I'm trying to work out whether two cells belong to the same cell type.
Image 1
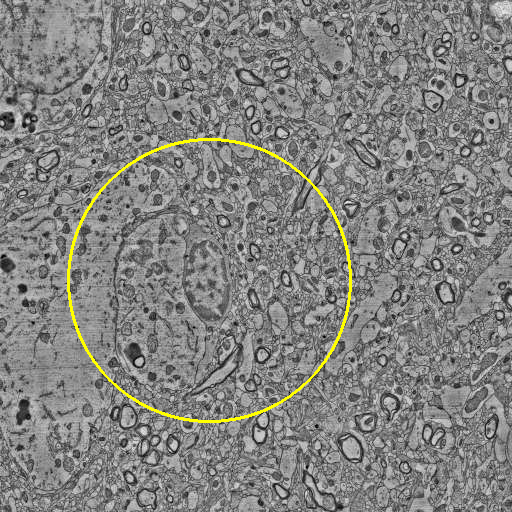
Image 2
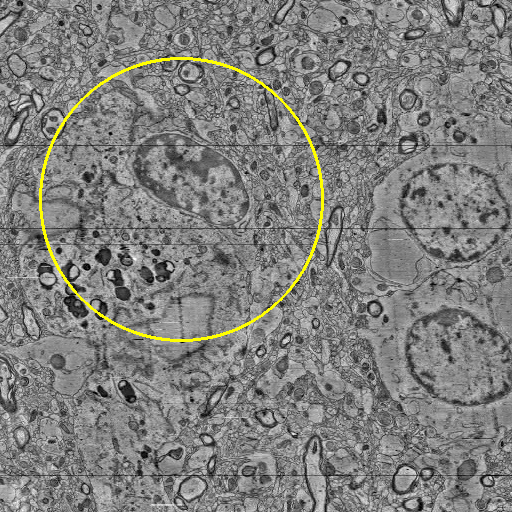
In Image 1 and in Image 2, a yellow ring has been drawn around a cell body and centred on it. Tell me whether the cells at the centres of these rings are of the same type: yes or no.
no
